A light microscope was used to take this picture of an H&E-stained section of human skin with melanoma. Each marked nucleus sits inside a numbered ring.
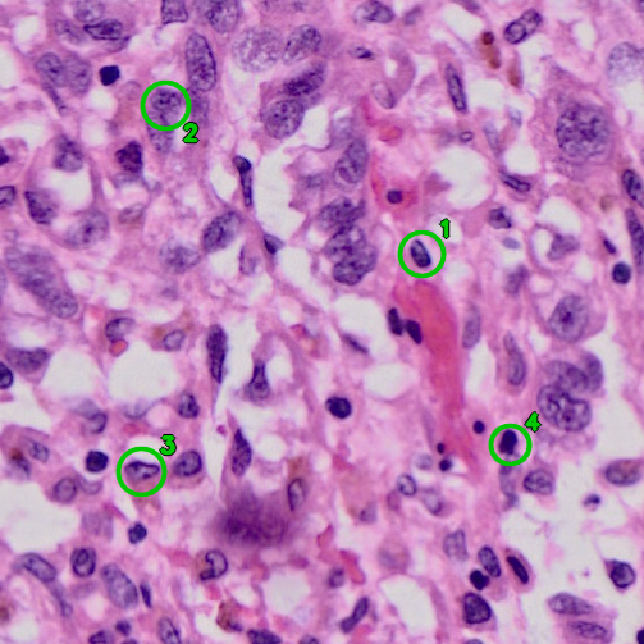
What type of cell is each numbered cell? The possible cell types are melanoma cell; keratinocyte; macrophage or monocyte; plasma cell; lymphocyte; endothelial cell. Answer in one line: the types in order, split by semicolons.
lymphocyte; melanoma cell; macrophage or monocyte; lymphocyte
